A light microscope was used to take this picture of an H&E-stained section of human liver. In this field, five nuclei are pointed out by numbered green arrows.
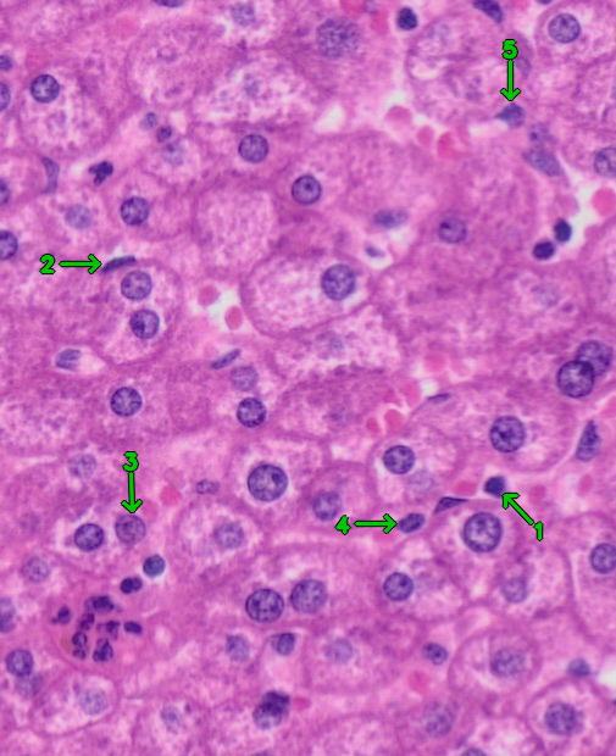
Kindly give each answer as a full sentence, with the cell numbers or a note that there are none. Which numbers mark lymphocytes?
The cells marked 1 and 4 in the section are lymphocytes.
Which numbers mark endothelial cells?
Here, the cells that carry numbers 2 and 5 are endothelial cells.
